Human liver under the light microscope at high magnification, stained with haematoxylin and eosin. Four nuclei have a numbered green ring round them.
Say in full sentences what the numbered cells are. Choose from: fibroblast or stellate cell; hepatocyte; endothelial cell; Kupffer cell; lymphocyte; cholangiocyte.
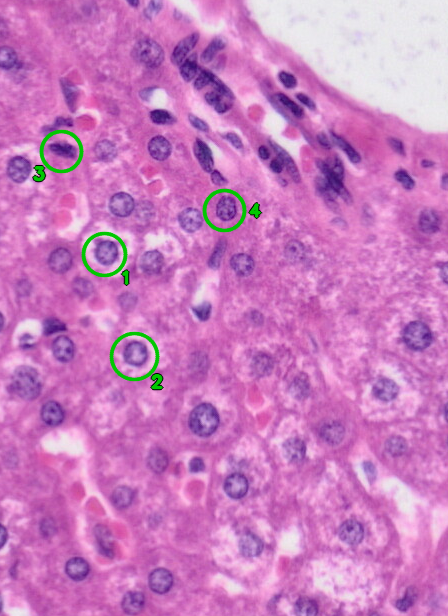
Cells 1, 2 and 4 are hepatocytes. Cell 3 is a fibroblast or stellate cell.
